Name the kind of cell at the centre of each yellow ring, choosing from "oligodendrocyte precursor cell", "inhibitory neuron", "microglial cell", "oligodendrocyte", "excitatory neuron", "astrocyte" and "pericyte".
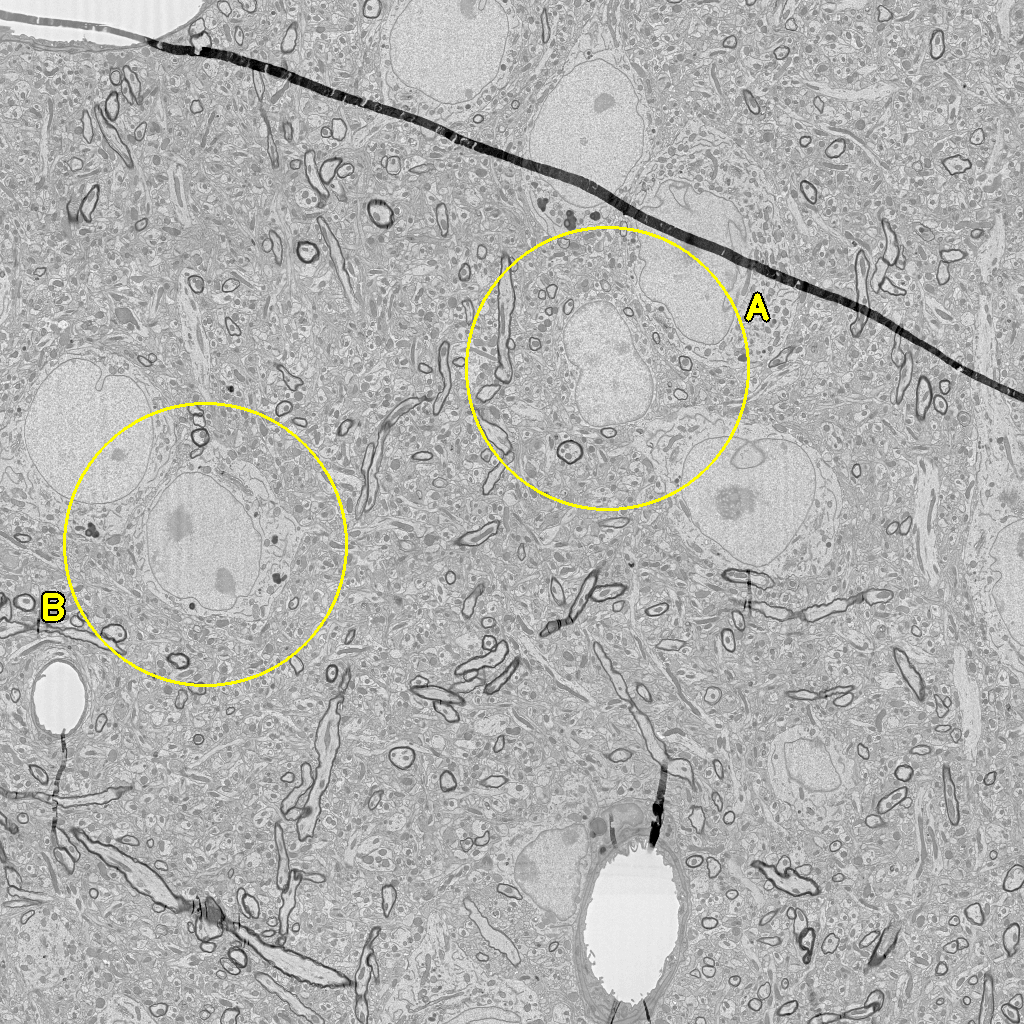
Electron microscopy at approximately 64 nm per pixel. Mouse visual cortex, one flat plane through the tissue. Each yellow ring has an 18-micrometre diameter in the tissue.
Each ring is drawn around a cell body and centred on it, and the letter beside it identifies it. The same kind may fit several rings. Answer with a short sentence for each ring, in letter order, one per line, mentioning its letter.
Ring A is drawn around an astrocyte.
Ring B is drawn around an excitatory neuron.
